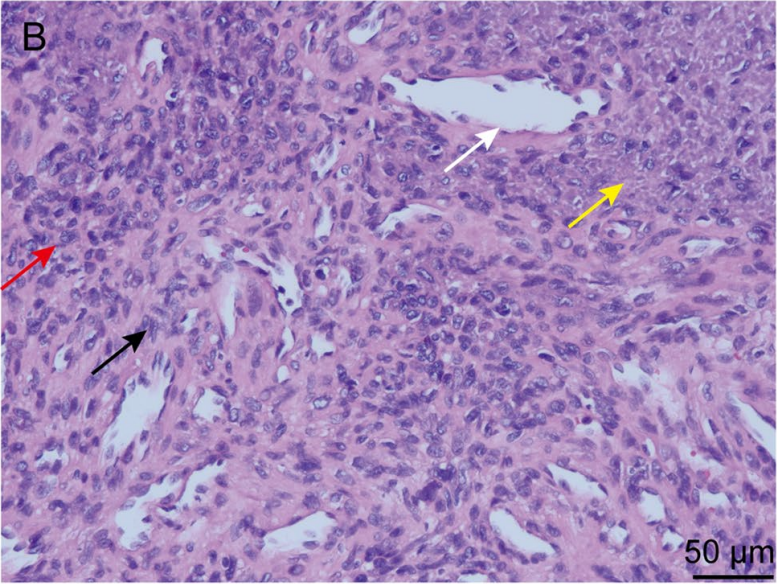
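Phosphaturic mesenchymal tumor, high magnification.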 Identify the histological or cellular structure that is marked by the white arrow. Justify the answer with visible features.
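Vascular proliferation. The arrow points into an empty, elongated lumen lined by flat cells. Many similar slit-like lumens are scattered through the panel.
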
